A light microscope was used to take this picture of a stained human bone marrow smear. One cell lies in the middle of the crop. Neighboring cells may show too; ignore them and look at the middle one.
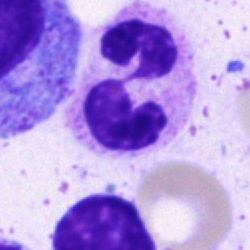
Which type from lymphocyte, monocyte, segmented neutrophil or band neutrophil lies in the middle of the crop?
segmented neutrophil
